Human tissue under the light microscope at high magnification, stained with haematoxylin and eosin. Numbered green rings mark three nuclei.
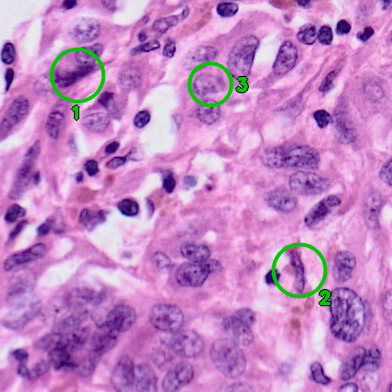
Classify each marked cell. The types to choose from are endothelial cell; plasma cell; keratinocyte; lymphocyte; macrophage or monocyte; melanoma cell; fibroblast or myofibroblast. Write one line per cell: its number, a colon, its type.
1: melanoma cell
2: macrophage or monocyte
3: melanoma cell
